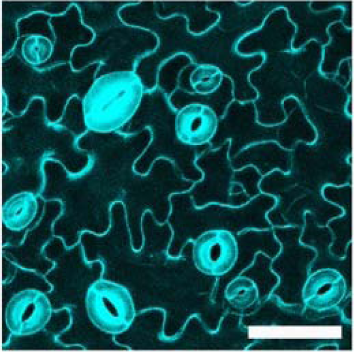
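This is leaf epidermis seen from the surface, made of large jigsaw-shaped cells with wavy interlocking walls outlined in cyan. Scattered among them are several stomata, each a pair of bean-shaped guard cells around a central slit, some strongly bright.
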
